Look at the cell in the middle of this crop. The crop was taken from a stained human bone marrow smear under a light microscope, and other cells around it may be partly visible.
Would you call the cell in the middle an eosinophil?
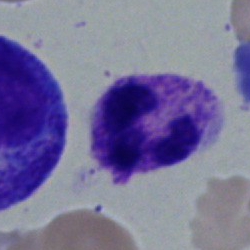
no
